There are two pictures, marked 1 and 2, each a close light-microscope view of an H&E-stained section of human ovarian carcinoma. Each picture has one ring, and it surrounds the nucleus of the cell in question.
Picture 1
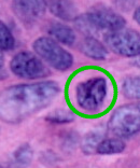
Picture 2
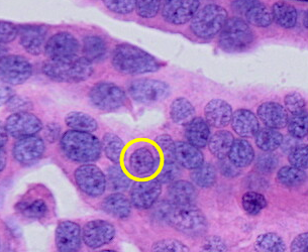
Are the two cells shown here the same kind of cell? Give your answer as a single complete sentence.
No. Picture 1 shows a “macrophage or monocyte”, but picture 2 shows a carcinoma cell.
